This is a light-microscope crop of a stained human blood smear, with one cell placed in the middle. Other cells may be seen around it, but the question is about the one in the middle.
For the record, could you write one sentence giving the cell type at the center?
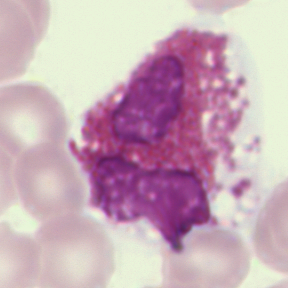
Here the centrally located cell is an eosinophil.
